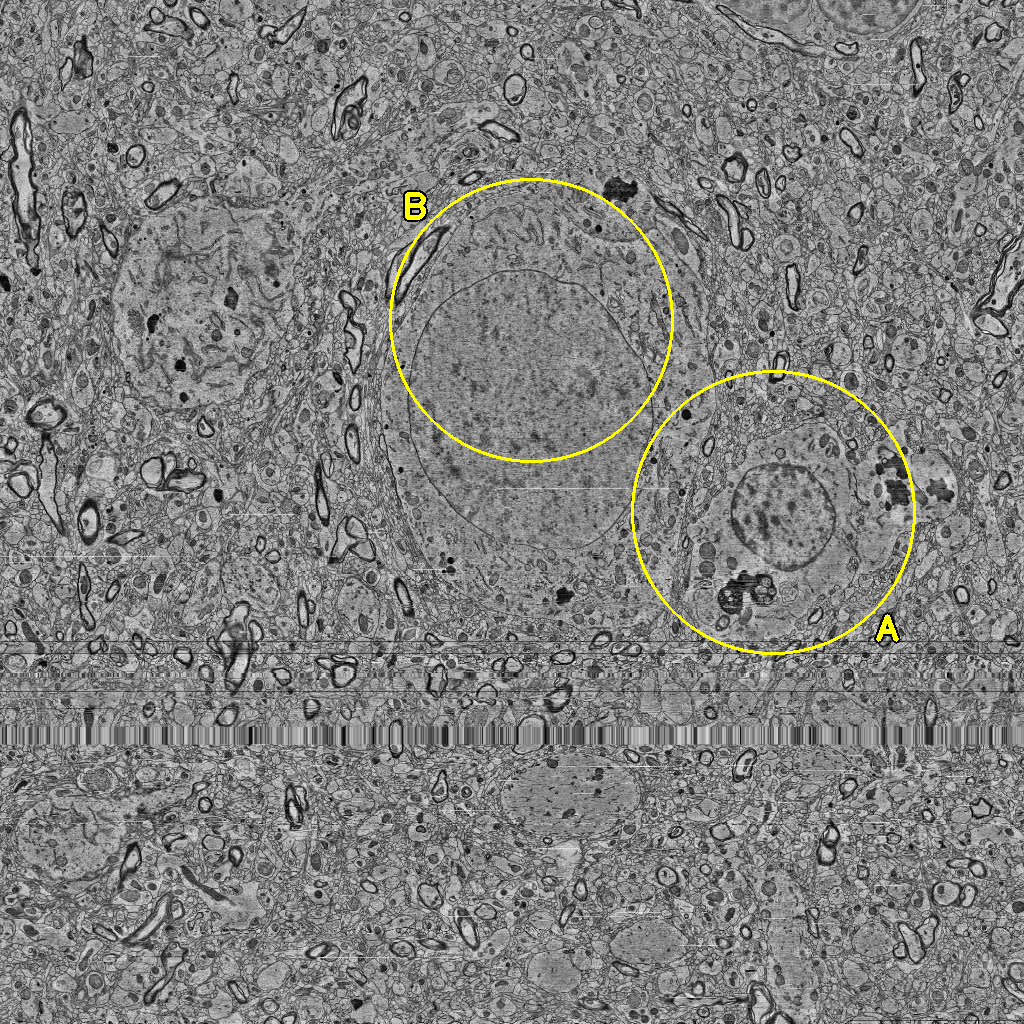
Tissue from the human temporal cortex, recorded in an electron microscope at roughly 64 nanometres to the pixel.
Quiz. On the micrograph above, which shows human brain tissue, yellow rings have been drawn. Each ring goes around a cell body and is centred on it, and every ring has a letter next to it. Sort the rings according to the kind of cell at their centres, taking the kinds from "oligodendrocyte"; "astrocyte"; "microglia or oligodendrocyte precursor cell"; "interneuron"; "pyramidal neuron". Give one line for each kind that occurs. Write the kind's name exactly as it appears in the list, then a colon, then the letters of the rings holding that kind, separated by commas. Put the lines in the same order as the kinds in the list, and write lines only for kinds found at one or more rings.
astrocyte: A
pyramidal neuron: B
